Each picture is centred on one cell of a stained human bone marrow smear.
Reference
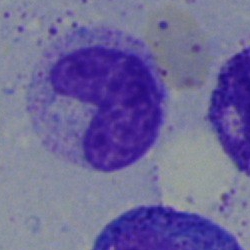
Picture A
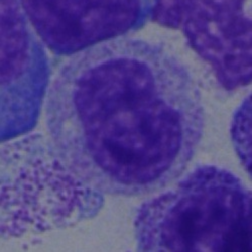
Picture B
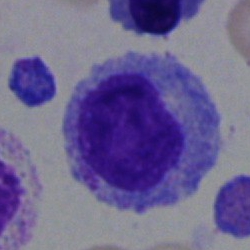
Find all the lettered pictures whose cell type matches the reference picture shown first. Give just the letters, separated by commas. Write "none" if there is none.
A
